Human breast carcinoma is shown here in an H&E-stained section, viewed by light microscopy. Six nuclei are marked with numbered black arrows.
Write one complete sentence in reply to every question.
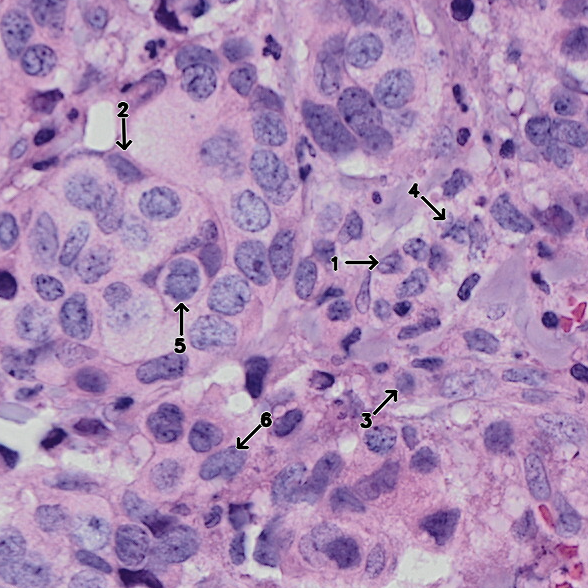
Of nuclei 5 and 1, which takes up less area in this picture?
Number 1 is smaller, since number 5 takes up about 3 times as much area.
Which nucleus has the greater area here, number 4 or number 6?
Nucleus 6 covers more area, about 2 times as much as nucleus 4.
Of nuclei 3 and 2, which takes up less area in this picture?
The smaller nucleus is 3, and 2 covers roughly 2 times its area.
